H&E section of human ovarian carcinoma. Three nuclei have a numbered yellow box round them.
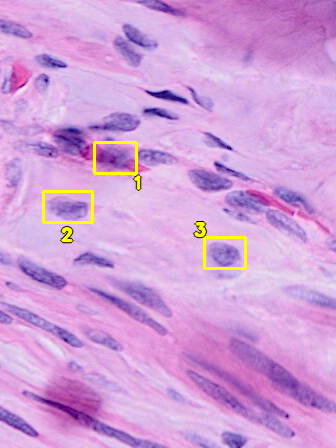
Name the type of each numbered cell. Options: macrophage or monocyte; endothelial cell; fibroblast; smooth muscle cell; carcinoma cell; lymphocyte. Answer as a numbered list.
1. endothelial cell
2. fibroblast
3. fibroblast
